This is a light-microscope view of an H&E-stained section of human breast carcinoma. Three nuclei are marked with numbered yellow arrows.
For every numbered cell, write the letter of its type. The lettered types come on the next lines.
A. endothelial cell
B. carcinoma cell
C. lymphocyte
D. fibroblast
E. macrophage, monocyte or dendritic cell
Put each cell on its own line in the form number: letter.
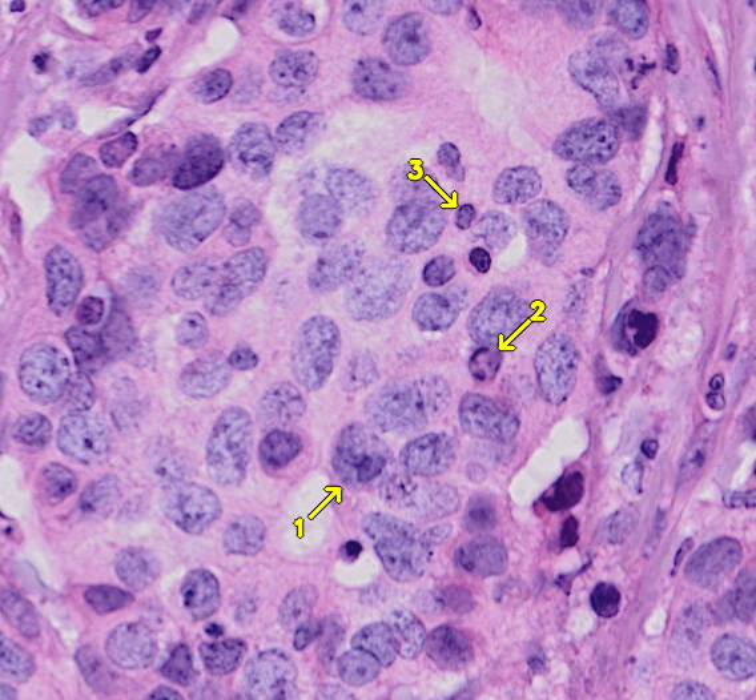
1: B
2: B
3: C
